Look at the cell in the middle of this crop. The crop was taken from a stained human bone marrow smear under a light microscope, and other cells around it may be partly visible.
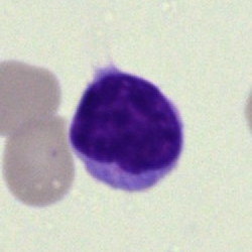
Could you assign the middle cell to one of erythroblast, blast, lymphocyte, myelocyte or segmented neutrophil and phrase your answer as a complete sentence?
The cell of interest, located centrally, is a lymphocyte.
